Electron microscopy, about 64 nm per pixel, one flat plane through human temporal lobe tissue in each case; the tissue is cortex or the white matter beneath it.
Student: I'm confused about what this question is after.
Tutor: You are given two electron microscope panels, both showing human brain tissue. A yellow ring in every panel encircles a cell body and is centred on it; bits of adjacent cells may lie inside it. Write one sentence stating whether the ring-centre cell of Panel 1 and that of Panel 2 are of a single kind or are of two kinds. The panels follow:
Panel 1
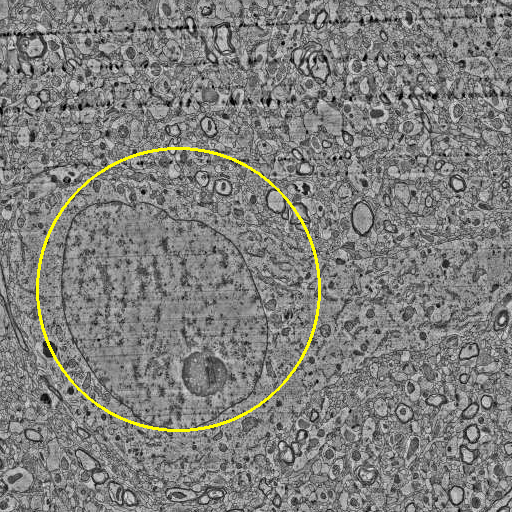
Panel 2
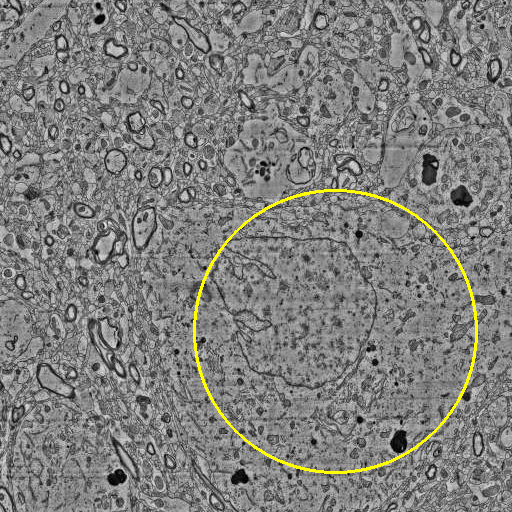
Here, the Panel 1 ring-centre cell and the Panel 2 ring-centre cell are of a single kind.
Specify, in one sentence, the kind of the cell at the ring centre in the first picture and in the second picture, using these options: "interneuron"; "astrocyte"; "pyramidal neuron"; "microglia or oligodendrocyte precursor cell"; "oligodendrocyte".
Both the first and the second picture show a pyramidal neuron in the ring.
